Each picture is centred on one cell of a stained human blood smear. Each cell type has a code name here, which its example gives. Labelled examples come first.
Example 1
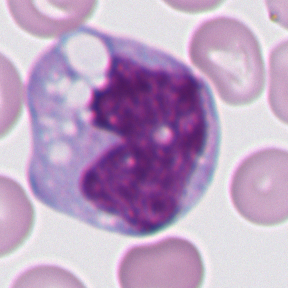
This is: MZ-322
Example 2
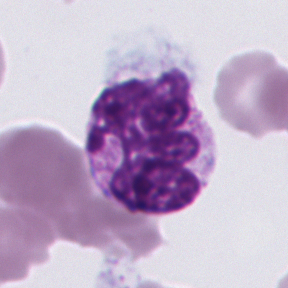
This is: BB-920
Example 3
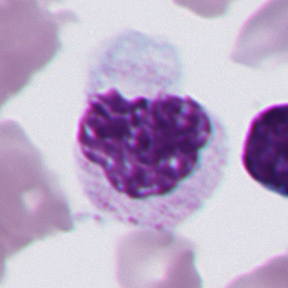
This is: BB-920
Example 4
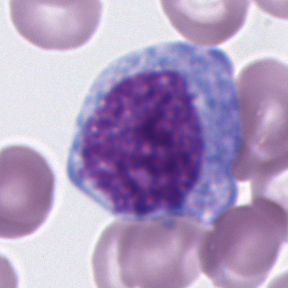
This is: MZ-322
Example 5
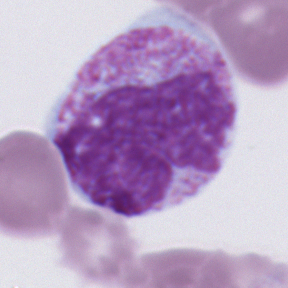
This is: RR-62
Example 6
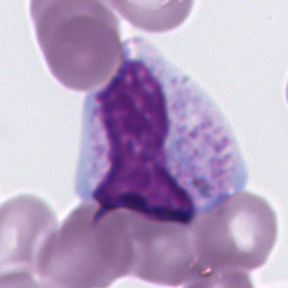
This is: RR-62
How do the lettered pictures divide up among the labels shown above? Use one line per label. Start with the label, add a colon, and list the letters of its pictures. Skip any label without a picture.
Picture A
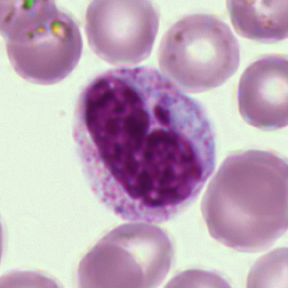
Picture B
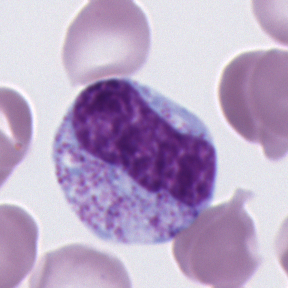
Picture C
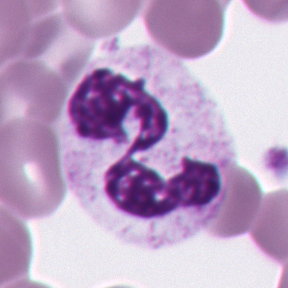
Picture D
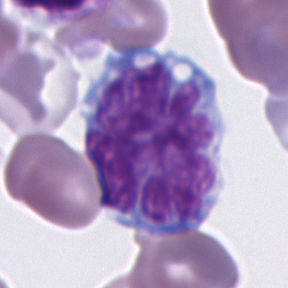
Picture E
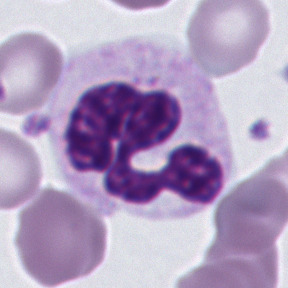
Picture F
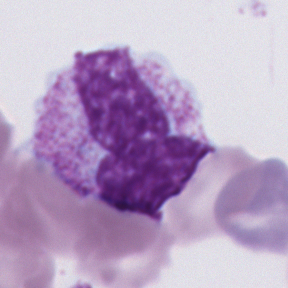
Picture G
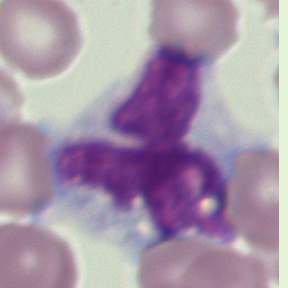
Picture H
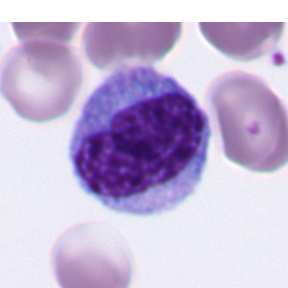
MZ-322: D, G, H
BB-920: C, E
RR-62: A, B, F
